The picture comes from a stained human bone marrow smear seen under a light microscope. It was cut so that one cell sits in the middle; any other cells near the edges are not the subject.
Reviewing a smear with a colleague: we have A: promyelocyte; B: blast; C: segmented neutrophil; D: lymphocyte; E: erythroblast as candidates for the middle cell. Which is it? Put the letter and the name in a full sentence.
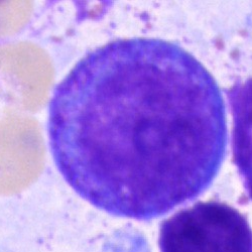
The central cell in this crop is a promyelocyte, so the correct choice is option A.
